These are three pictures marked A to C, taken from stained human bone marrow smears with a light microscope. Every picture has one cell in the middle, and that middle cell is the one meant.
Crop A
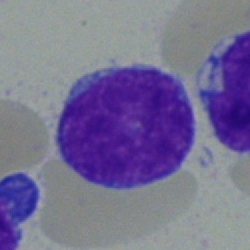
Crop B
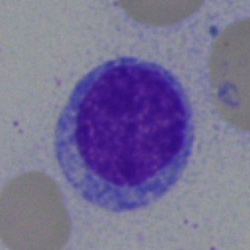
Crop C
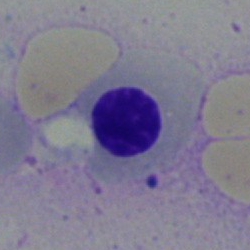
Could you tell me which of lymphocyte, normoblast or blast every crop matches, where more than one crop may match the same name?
A: blast
B: lymphocyte
C: normoblast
